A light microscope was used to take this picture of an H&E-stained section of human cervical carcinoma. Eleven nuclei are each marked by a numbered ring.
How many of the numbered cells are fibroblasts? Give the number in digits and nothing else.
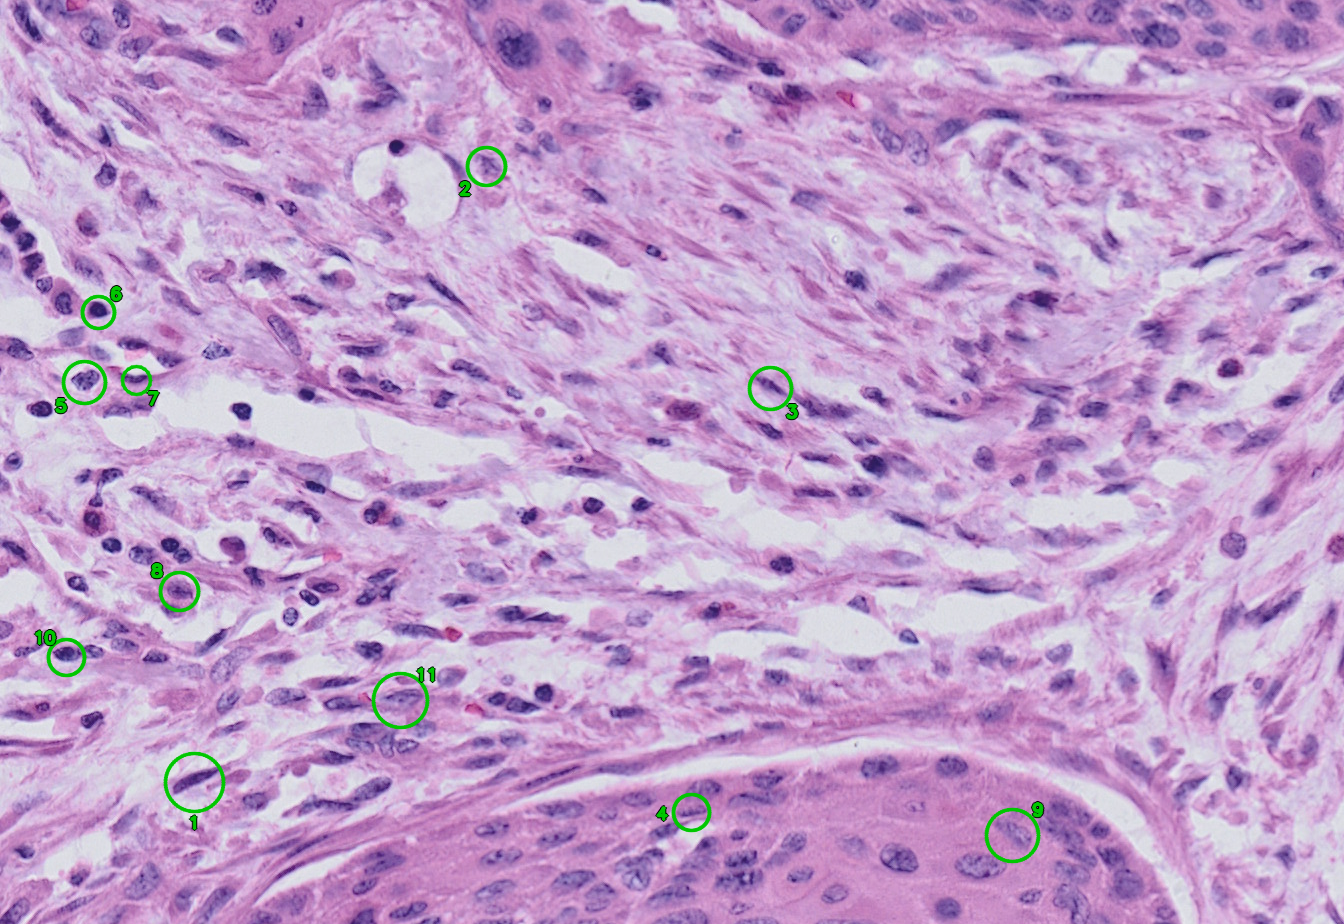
3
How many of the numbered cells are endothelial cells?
2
